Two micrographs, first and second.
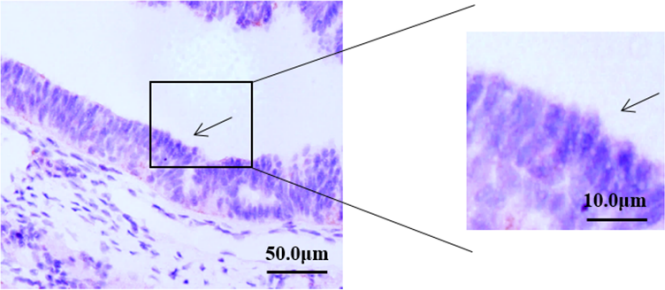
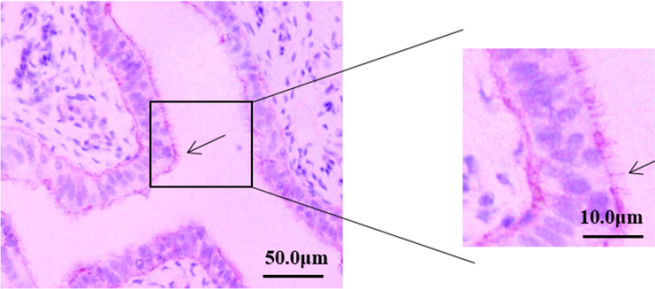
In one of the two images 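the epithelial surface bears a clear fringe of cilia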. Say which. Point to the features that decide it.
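First image: the apical surface of the epithelium shows almost no pink fringe, only faint traces. Second image: a continuous pink hair-like fringe lines the apical surface of the epithelium. So: the second image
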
